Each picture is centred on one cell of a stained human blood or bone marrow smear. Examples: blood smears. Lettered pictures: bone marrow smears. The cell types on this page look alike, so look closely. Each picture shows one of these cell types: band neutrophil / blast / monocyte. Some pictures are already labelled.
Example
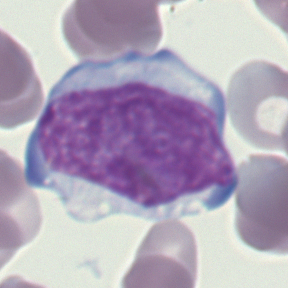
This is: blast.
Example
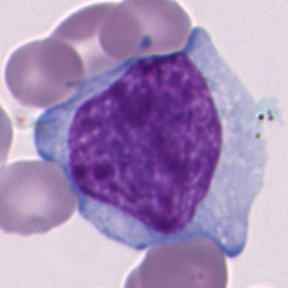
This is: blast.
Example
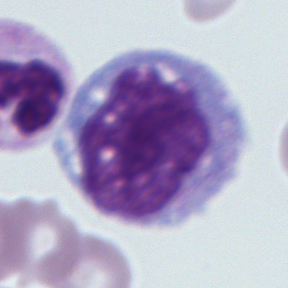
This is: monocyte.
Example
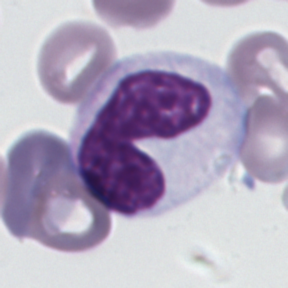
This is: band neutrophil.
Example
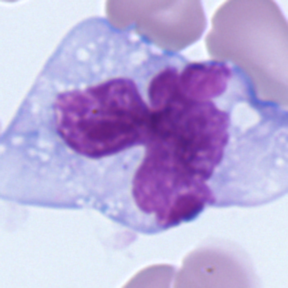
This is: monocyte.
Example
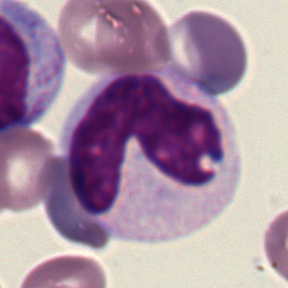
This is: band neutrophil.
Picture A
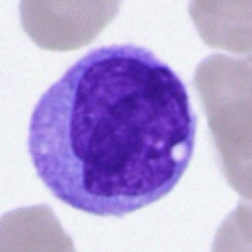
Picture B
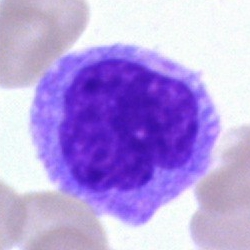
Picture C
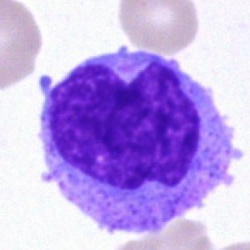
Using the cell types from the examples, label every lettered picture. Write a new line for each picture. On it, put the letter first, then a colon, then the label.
A: blast.
B: monocyte.
C: monocyte.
